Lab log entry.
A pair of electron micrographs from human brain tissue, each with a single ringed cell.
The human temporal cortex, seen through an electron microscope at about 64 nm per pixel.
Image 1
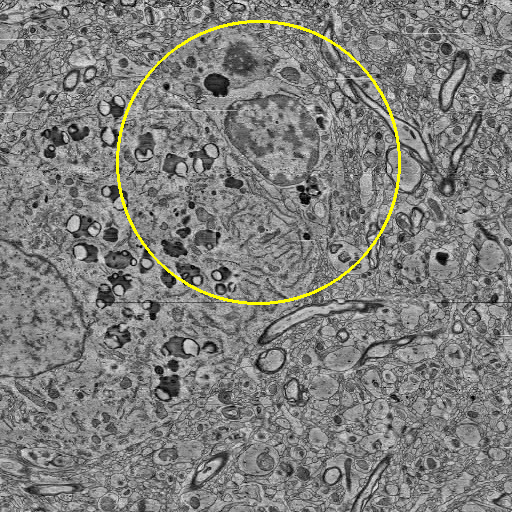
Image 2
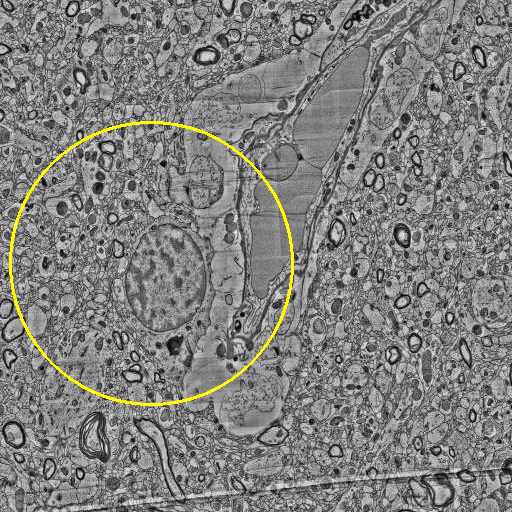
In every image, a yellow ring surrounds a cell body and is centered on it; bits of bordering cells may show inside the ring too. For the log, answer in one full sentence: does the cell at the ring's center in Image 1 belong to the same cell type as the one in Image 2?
No, the cells at the ring centers in Image 1 and Image 2 are of separate types.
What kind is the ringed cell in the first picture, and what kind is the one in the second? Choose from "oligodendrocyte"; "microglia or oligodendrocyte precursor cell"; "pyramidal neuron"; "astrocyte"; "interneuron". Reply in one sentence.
The first cell is a microglial cell or oligodendrocyte precursor cell; the second is an oligodendrocyte.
